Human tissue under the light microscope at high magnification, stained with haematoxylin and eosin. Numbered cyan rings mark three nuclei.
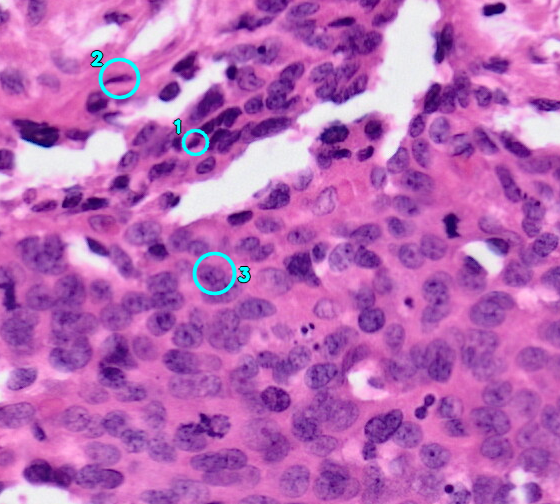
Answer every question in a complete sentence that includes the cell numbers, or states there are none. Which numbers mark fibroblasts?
Only number 2 of the marked cells is a fibroblast.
